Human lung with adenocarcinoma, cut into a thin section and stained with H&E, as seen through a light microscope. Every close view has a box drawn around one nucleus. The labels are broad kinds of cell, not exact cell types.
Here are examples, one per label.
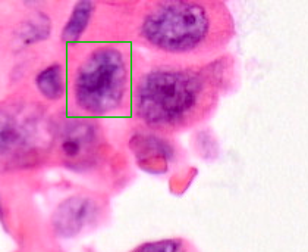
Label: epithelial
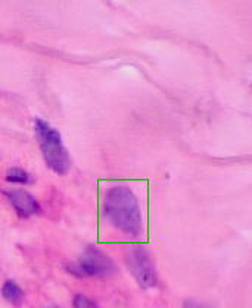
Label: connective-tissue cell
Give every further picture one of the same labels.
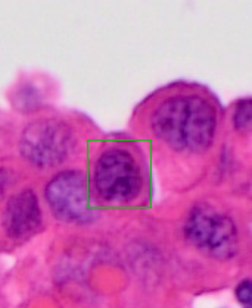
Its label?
epithelial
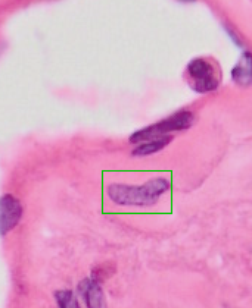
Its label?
connective-tissue cell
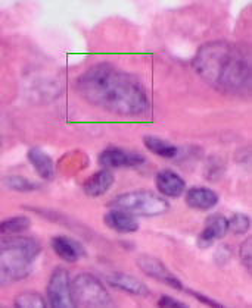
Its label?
epithelial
